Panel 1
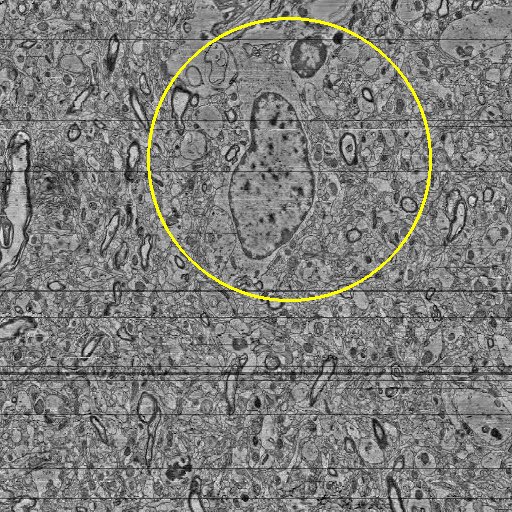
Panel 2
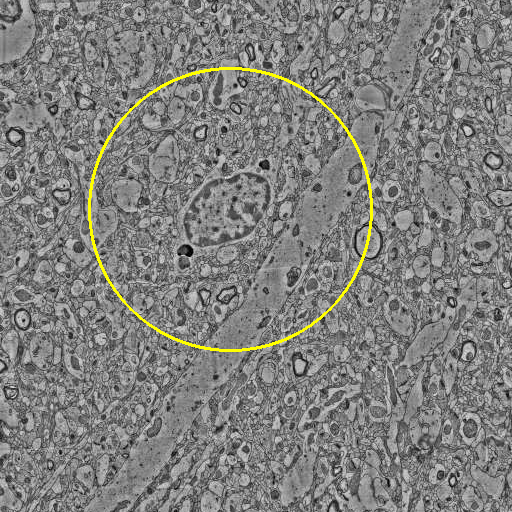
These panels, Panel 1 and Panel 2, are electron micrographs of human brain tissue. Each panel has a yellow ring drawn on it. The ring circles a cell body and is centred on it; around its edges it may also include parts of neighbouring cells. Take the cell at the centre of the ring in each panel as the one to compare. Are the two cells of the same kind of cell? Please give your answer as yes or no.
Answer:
yes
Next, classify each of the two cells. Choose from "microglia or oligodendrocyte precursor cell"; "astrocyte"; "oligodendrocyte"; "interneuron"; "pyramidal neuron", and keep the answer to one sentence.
The cell at the ring centre is a microglial cell or oligodendrocyte precursor cell in both pictures.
